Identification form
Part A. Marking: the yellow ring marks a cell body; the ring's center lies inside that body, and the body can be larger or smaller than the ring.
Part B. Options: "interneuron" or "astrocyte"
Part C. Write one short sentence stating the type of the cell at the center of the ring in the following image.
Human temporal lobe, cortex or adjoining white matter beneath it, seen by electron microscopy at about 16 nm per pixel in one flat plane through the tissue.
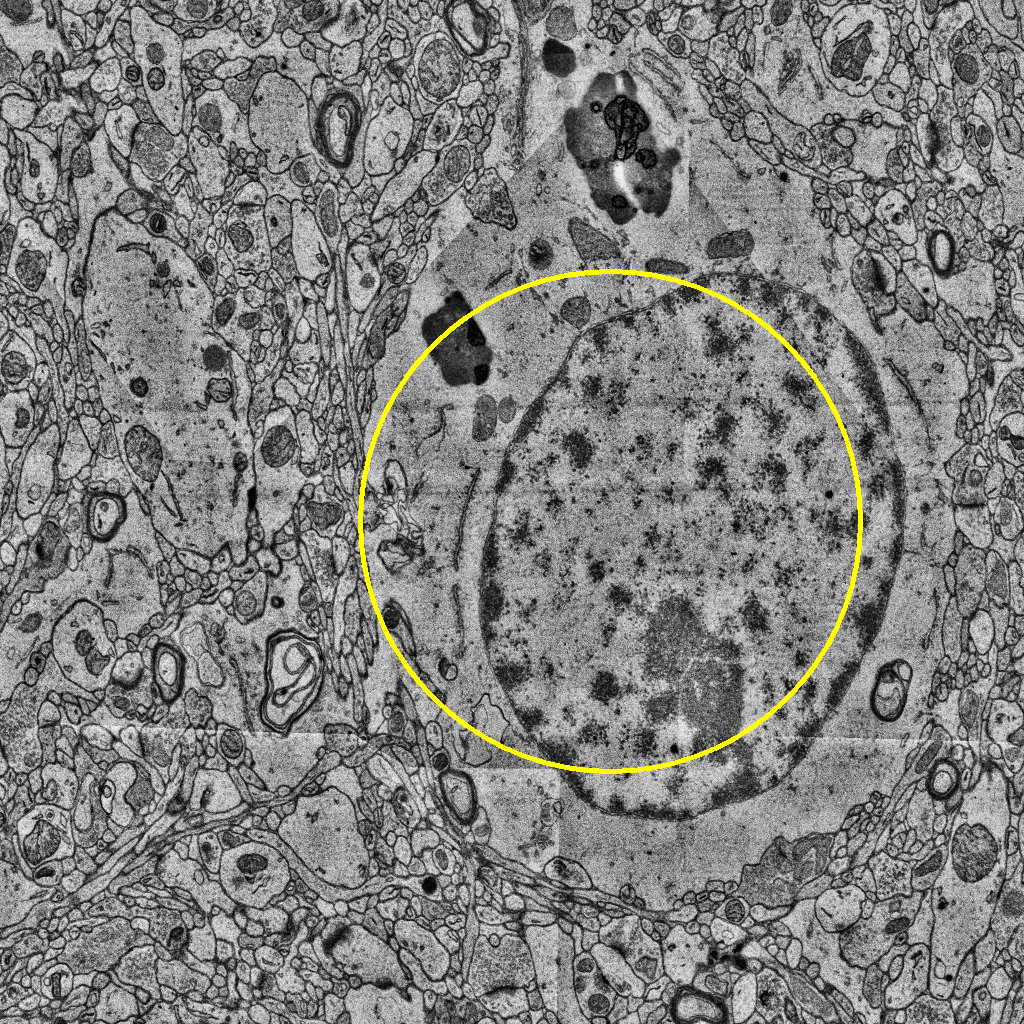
The center of the ring holds an astrocyte.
